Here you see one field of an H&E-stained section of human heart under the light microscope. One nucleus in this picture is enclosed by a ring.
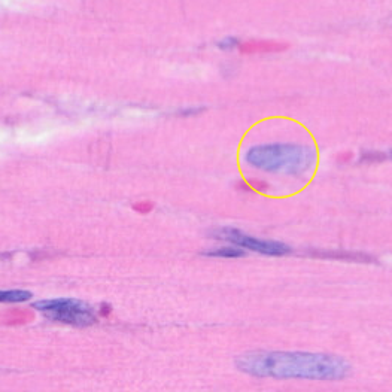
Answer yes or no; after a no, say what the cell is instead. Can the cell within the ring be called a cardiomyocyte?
Yes.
